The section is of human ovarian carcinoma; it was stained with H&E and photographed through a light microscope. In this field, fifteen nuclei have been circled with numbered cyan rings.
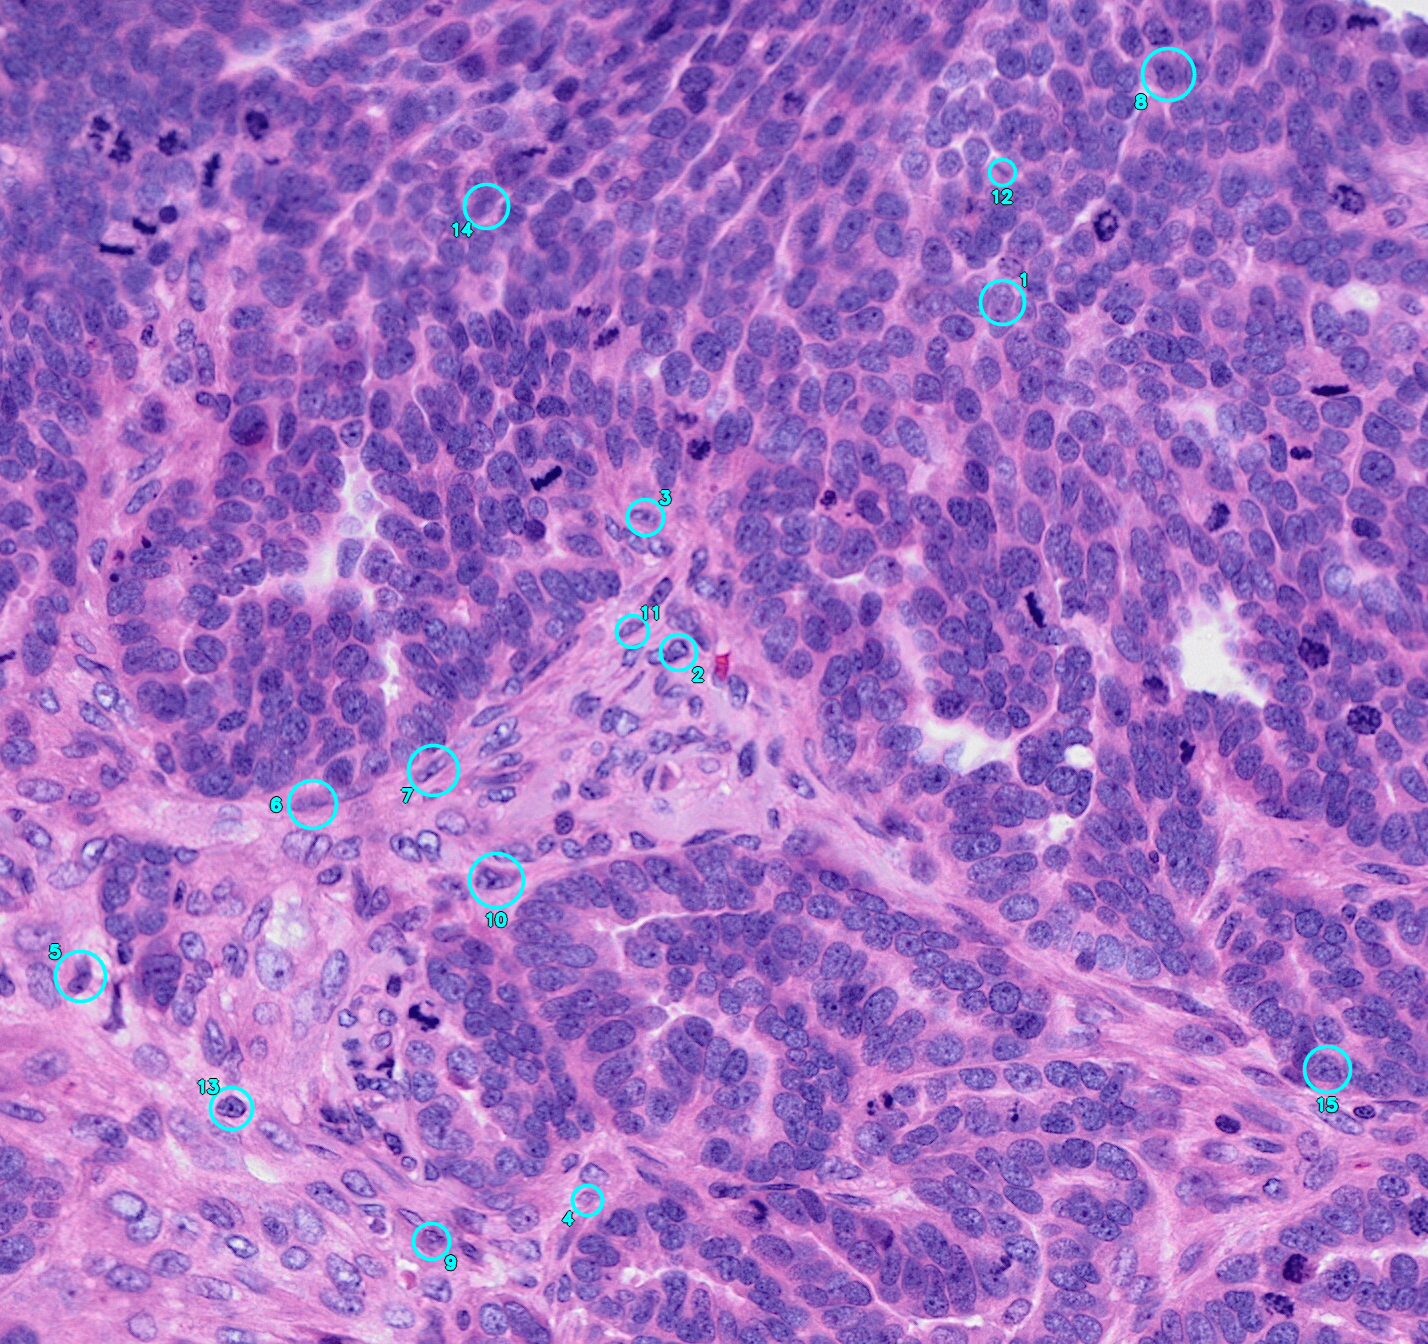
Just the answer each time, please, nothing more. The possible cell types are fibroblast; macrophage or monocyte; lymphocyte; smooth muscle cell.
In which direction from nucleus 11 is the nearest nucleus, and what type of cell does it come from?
a fibroblast below nucleus 11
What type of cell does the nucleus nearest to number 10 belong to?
fibroblast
